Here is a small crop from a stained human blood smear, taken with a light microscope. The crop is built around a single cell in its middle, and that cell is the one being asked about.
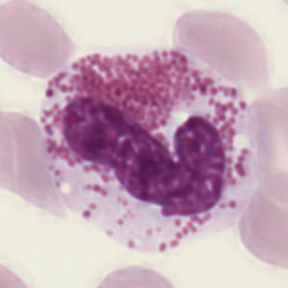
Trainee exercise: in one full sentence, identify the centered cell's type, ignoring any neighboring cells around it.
The crop shows an eosinophil in its centre.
